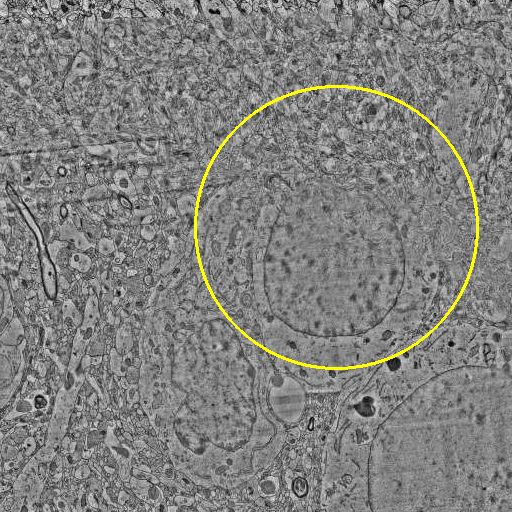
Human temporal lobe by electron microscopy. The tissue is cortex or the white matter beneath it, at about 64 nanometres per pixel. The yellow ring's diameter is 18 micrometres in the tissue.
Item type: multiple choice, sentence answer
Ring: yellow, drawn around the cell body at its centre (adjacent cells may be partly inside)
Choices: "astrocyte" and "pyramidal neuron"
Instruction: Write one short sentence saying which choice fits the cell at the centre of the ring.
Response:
This ring is drawn around a pyramidal neuron.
